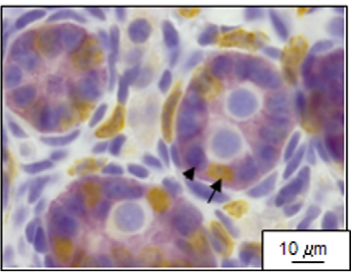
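Within the cords, large round cells with pale cytoplasm and big round nuclei sit toward the centre, while smaller cells with purplish-blue nuclei and pinkish-purple cytoplasm line the cord periphery; these are the Sertoli cells. Some nuclei, both inside the cords at the periphery and in the interstitium, are stained brown, whereas most others are blue. The interstitium between cords holds loosely arranged cells with elongated or oval nuclei and pale spaces. An arrow marks a brown-nucleated cell and an arrowhead a blue-nucleated cell at a cord edge.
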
